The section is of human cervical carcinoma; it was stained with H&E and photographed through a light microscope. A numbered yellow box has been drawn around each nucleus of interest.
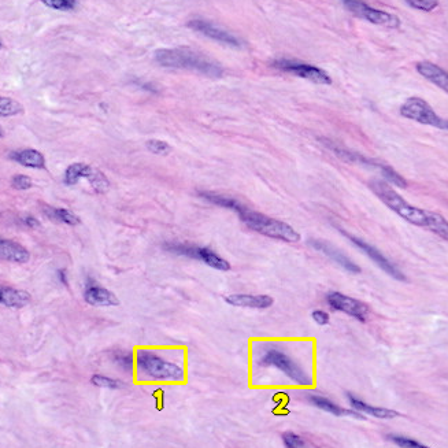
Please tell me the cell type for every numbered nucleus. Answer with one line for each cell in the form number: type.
1: smooth muscle cell
2: fibroblast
